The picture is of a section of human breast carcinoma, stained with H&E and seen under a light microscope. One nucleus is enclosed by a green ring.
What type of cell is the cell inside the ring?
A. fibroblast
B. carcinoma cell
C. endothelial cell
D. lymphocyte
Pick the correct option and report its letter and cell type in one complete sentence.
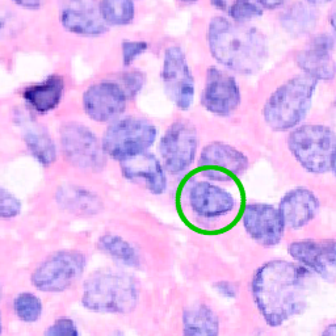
It is as option B has it, the cell inside the ring being a carcinoma cell.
